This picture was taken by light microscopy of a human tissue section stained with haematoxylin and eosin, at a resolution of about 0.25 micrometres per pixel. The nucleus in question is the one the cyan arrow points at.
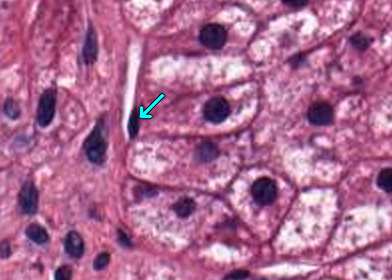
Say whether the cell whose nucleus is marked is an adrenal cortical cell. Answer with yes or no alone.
no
